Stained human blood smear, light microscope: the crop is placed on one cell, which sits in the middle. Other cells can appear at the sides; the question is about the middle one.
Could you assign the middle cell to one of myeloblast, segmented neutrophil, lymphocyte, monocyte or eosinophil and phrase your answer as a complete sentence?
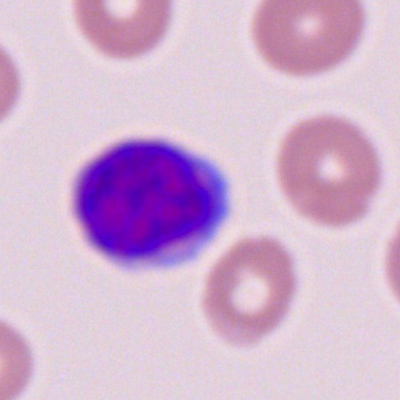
The cell shown in the center of this light-microscope crop is a lymphocyte.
